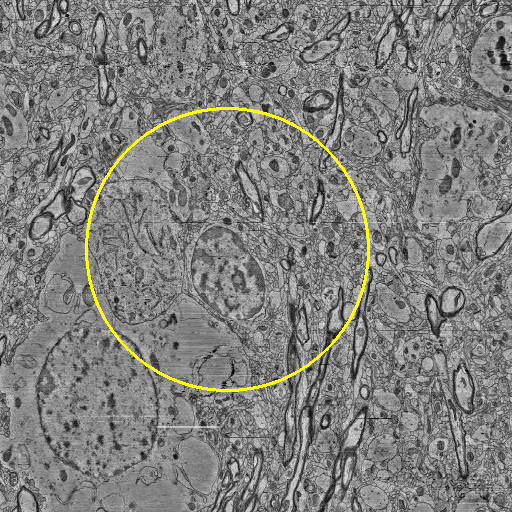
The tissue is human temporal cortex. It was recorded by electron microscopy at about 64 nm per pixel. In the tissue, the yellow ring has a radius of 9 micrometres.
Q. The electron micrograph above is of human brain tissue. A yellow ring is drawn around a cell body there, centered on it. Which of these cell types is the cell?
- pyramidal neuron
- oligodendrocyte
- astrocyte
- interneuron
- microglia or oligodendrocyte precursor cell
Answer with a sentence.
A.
The cell under the ring's center is a microglial cell or oligodendrocyte precursor cell.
